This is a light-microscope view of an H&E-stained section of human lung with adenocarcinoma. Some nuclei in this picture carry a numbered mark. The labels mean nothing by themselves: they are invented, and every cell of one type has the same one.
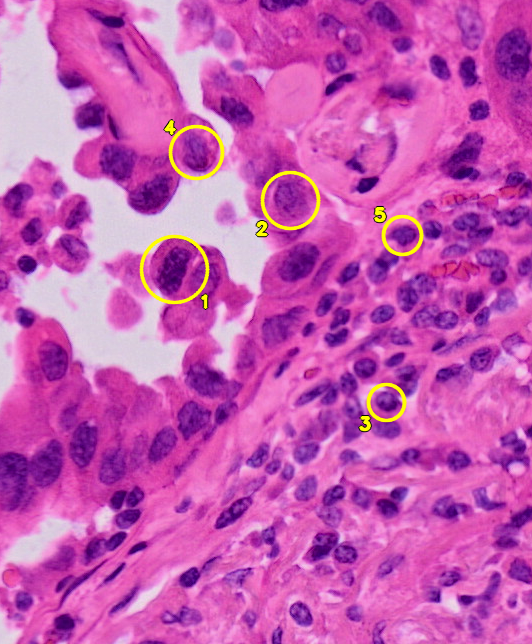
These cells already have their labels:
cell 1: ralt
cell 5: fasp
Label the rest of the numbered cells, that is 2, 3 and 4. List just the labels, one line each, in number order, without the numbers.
ralt
fasp
ralt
